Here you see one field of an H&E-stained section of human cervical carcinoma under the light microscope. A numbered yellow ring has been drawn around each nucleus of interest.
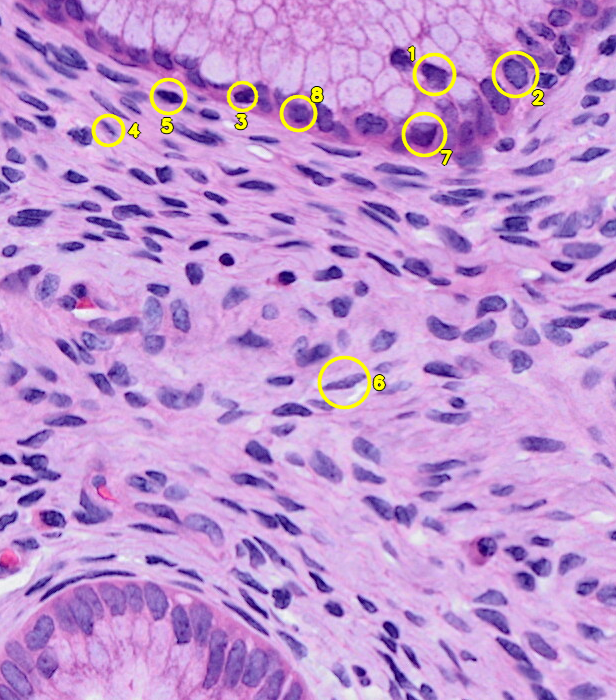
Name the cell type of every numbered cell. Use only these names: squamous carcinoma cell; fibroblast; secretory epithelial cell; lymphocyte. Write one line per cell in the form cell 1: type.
cell 1: secretory epithelial cell
cell 2: secretory epithelial cell
cell 3: secretory epithelial cell
cell 4: fibroblast
cell 5: lymphocyte
cell 6: fibroblast
cell 7: secretory epithelial cell
cell 8: secretory epithelial cell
